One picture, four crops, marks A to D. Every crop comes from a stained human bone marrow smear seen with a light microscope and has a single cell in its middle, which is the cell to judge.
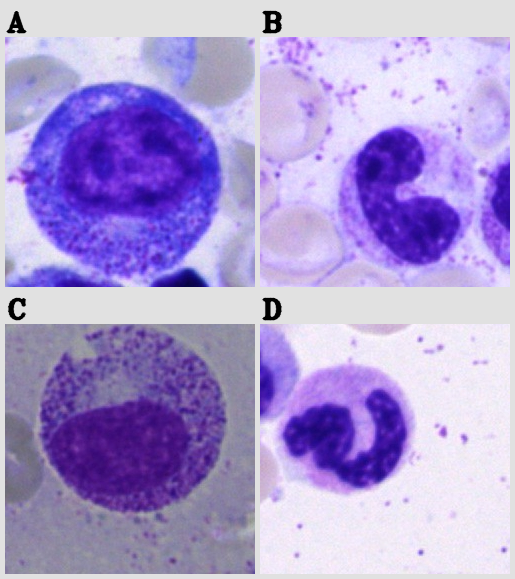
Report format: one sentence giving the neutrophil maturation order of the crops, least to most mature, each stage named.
From youngest to most mature, the cells go crop A (a promyelocyte), crop C (a myelocyte), crop B (a band neutrophil) and crop D (a segmented neutrophil).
